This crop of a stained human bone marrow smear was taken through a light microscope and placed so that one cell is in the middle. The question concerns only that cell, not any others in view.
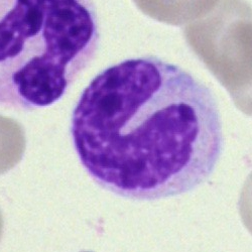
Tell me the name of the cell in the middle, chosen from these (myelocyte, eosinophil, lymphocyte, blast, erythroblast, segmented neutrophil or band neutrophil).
band neutrophil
